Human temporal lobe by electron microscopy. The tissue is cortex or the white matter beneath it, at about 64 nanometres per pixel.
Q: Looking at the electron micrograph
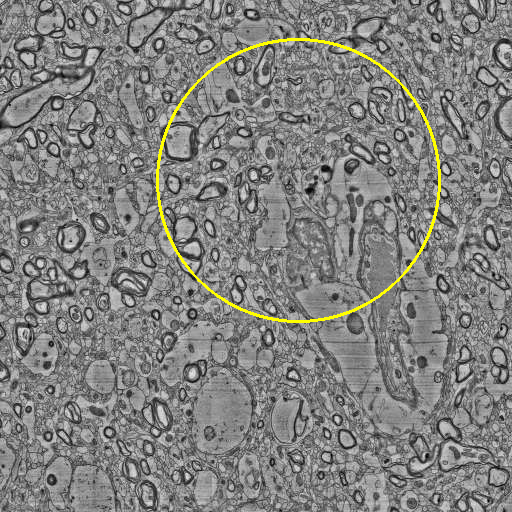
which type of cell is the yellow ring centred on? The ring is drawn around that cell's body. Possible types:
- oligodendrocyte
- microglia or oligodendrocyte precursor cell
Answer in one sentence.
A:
The yellow ring is centred on a microglial cell or oligodendrocyte precursor cell.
